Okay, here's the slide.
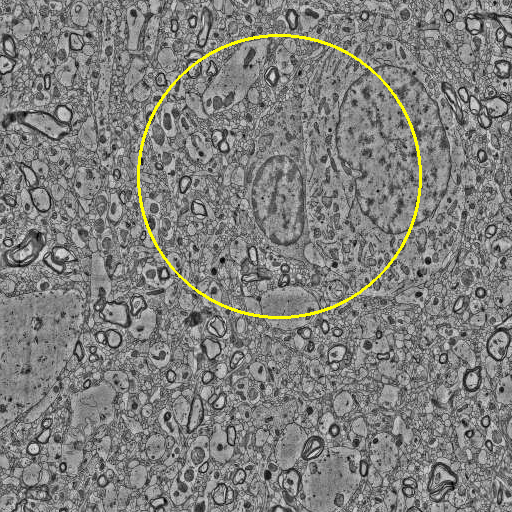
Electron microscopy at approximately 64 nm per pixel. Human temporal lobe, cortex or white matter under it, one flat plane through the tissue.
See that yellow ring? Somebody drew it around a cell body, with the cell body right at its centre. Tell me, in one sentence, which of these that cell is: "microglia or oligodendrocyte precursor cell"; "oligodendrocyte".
The cell in the middle of the ring is an oligodendrocyte.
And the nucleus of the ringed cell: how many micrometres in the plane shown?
In this plane the nucleus is roughly 6 by 3 micrometres, clearly longer than it is wide.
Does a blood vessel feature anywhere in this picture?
No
